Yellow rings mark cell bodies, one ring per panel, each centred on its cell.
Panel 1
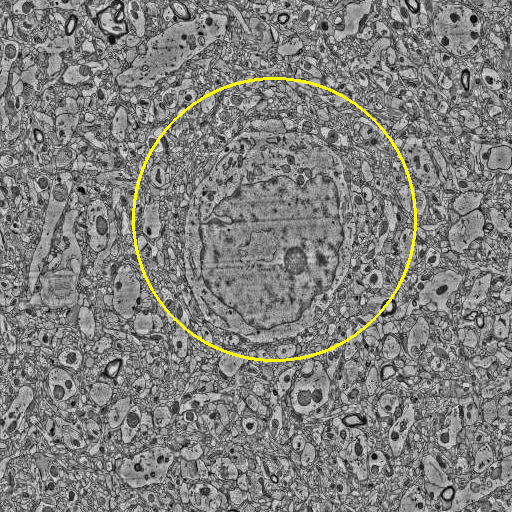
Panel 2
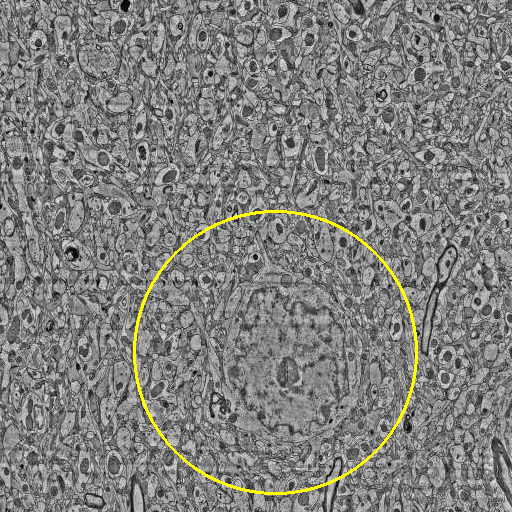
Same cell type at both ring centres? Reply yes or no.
yes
